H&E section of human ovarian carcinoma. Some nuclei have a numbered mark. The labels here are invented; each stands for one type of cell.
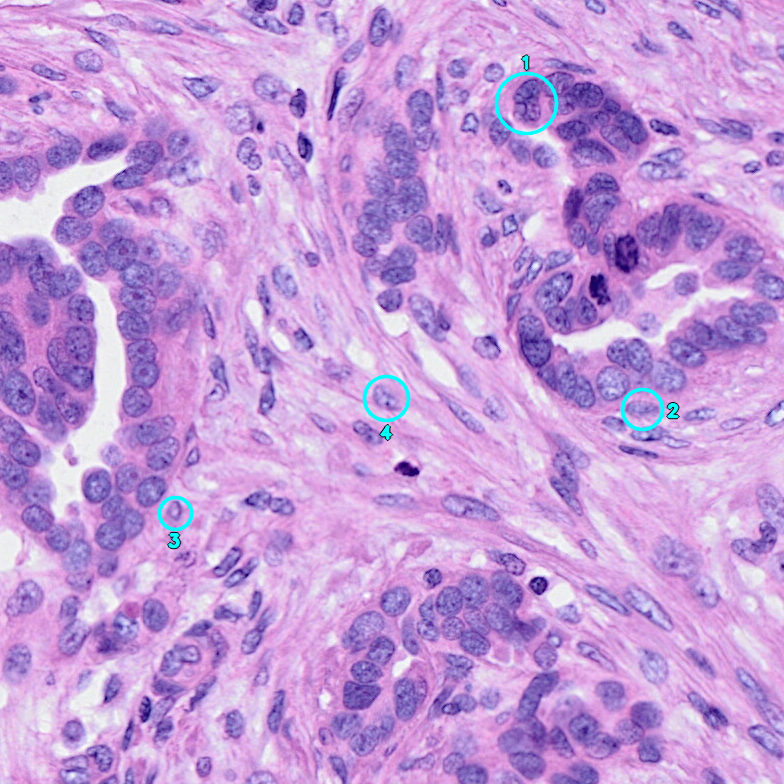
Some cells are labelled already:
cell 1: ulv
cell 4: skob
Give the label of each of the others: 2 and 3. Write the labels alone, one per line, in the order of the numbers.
skob
skob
